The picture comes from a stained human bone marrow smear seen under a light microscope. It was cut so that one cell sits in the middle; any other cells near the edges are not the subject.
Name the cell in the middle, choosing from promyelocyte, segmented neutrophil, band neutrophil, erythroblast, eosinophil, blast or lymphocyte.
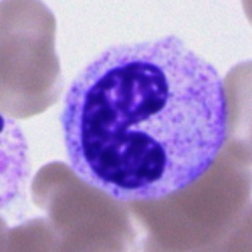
band neutrophil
